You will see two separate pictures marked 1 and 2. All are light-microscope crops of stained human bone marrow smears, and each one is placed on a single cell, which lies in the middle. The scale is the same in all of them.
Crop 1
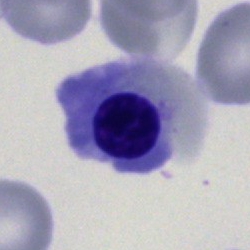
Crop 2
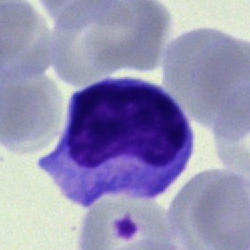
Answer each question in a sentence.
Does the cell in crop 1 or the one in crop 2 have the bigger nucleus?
Larger is the nucleus in crop 2, at roughly 2.5 times the area of the other.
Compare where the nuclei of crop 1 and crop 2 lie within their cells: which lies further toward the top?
In crop 2 the nucleus is shifted more toward the top.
